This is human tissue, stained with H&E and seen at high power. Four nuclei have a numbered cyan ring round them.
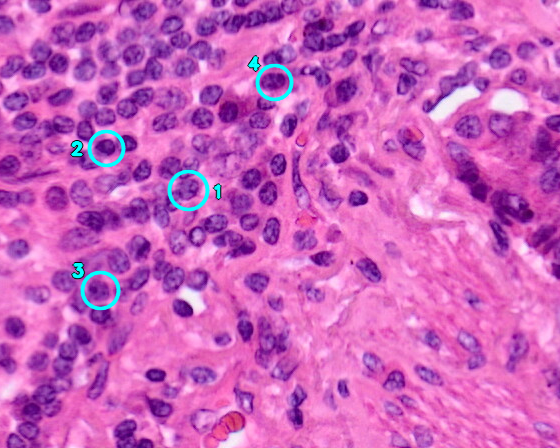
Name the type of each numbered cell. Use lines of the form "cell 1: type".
cell 1: lymphocyte
cell 2: lymphocyte
cell 3: lymphocyte
cell 4: plasma cell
